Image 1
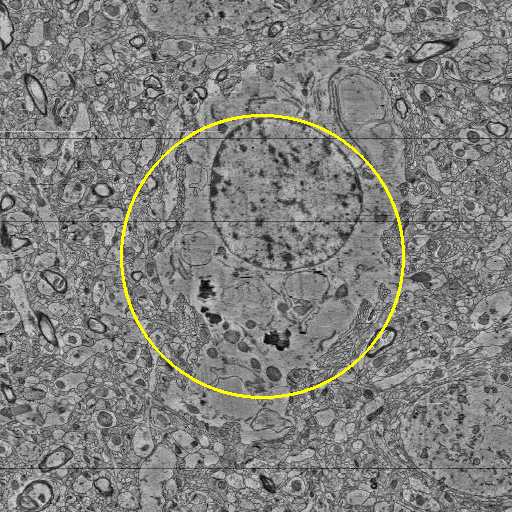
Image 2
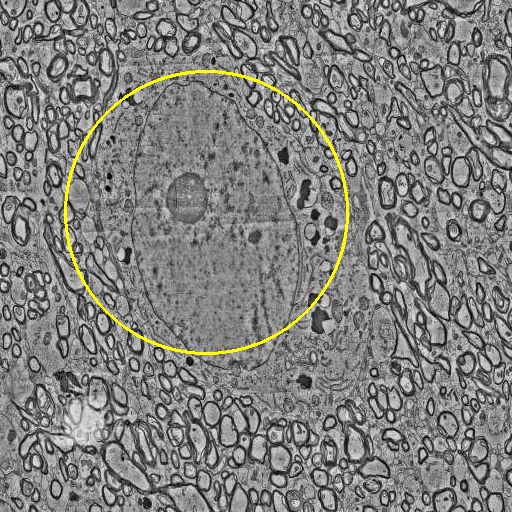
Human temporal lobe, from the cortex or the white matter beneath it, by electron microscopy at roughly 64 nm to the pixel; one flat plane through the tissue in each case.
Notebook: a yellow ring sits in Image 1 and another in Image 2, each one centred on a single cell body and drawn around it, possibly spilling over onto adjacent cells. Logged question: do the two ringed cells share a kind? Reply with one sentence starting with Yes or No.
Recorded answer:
No, the centre cells inside the rings of Image 1 and Image 2 are of two kinds.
